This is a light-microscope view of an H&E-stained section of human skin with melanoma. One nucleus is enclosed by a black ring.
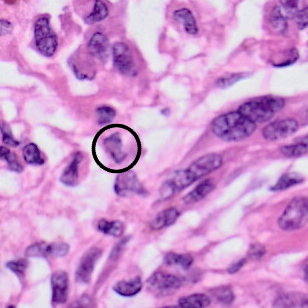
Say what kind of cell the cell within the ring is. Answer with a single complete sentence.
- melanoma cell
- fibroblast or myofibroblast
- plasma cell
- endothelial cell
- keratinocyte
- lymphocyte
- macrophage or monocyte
The cell within the ring is a macrophage or monocyte.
